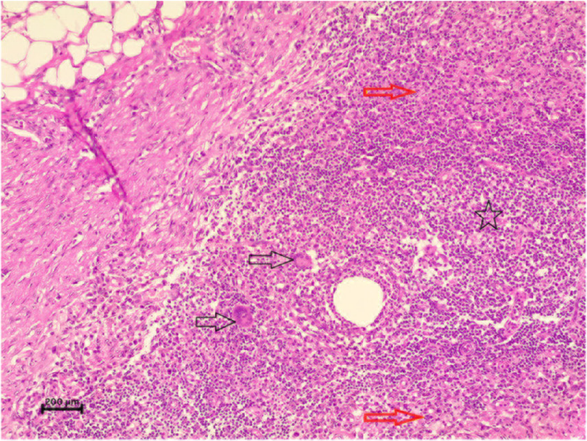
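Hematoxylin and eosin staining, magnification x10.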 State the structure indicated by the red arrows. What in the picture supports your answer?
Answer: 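Ill-formed epithelioid histiocyte aggregates. The arrows point to loose clusters of cells with paler cytoplasm within the dense infiltrate.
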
